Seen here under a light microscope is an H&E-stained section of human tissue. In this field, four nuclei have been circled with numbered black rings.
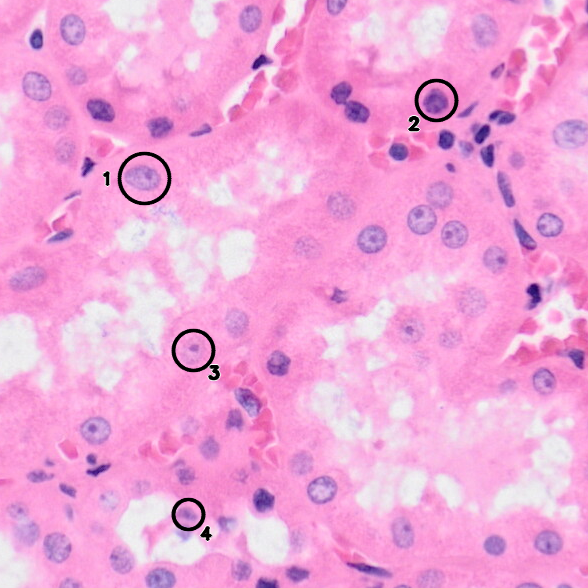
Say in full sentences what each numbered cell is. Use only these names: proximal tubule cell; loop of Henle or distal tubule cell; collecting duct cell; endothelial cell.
Cells 1, 2 and 3 are proximal tubule cells. Cell 4 is a loop of Henle or distal tubule cell.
